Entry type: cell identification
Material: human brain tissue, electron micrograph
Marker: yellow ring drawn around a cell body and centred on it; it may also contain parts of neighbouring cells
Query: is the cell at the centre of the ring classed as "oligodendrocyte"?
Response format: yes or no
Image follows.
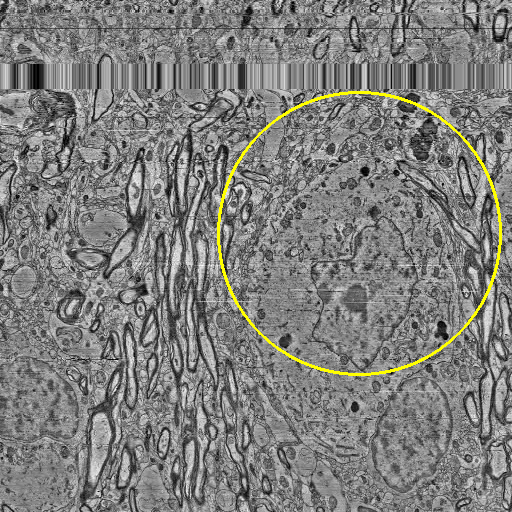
no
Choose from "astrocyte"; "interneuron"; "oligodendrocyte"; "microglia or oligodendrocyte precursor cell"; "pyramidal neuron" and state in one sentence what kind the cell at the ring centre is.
Here, the ring is centred on a pyramidal neuron instead.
